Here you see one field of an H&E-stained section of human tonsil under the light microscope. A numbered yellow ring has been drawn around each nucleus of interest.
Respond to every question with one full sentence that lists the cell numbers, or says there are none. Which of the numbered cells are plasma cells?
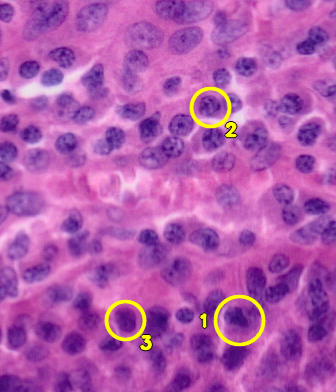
With the exception of cell 2, no marked cell is a plasma cell.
